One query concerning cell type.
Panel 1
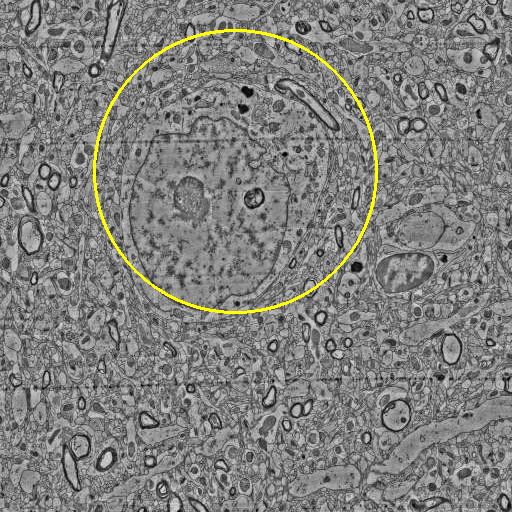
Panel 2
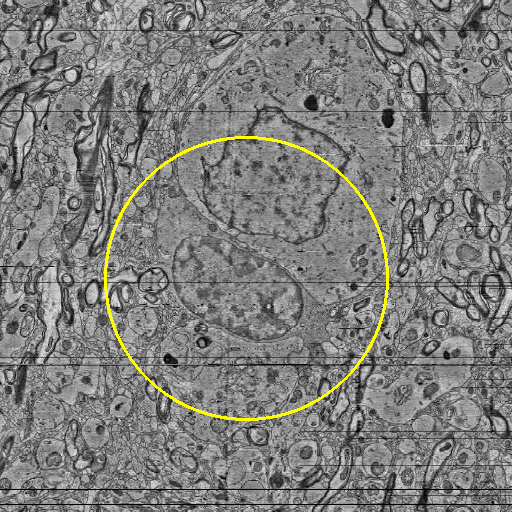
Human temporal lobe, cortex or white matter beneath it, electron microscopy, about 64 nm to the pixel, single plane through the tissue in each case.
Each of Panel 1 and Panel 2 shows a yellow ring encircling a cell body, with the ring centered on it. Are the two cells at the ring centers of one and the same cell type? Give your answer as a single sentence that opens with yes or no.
No, the cell centered in Panel 1 and the one in Panel 2 are of two types.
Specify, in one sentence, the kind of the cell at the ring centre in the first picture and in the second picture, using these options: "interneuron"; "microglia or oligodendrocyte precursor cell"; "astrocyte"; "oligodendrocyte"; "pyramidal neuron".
So the first is a pyramidal neuron, the second an oligodendrocyte.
